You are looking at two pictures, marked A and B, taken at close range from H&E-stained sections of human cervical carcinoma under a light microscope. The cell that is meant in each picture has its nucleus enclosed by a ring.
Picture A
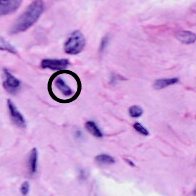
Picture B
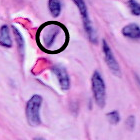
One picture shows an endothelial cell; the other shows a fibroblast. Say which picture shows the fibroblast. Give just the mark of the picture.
A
